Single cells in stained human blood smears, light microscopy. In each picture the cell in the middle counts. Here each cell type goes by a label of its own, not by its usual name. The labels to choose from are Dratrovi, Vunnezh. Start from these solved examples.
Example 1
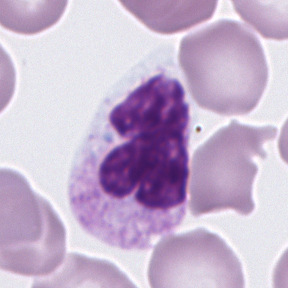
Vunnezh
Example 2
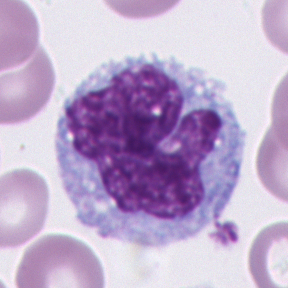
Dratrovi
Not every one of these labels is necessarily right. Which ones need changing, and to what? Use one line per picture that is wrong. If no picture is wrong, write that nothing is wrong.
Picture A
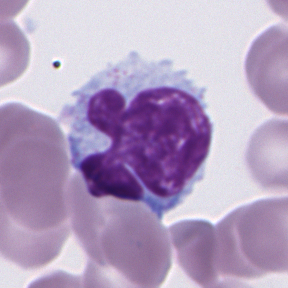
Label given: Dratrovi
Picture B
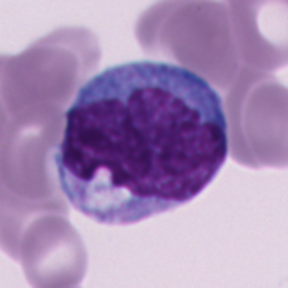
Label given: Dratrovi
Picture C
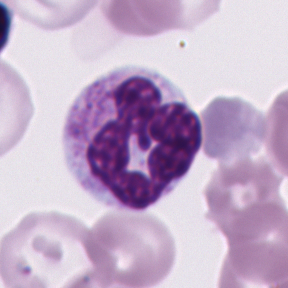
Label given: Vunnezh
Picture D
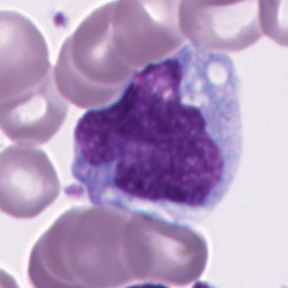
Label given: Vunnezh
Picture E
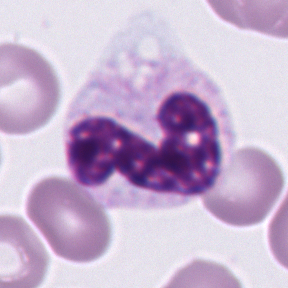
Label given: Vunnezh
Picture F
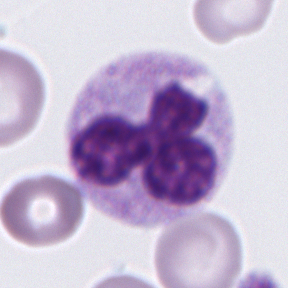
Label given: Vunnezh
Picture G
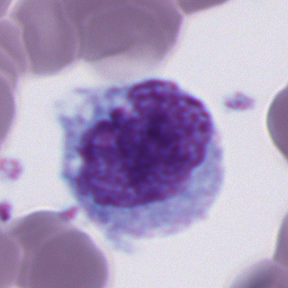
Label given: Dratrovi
D: not Vunnezh but Dratrovi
